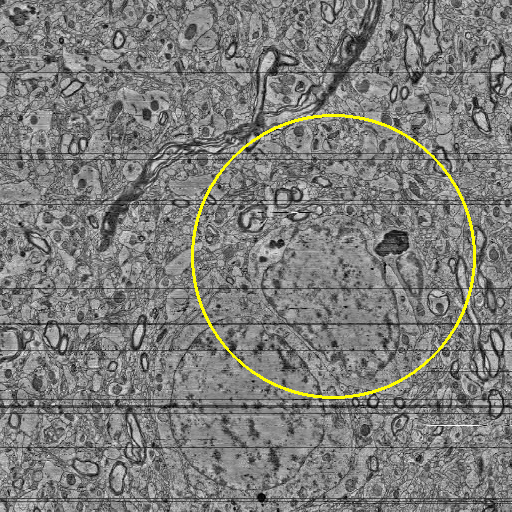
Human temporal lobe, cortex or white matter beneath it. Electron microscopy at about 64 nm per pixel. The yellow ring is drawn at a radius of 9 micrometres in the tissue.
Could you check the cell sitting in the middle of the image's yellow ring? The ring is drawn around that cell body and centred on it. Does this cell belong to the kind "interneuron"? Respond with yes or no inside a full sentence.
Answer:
Yes, this cell in the middle of the yellow ring is one of that kind.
